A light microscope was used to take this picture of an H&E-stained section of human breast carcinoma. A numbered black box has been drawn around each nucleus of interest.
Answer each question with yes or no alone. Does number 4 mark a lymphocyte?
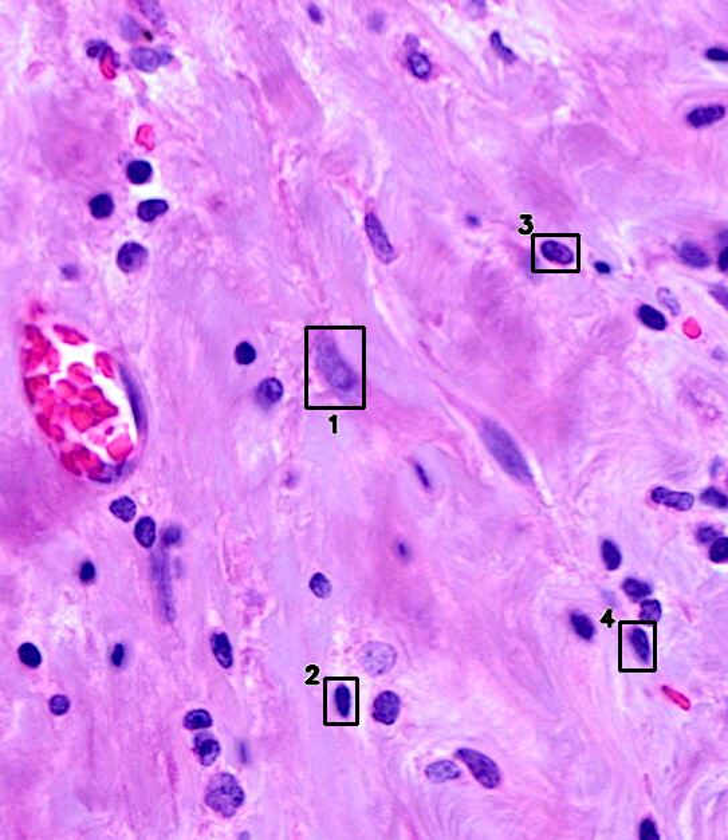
yes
